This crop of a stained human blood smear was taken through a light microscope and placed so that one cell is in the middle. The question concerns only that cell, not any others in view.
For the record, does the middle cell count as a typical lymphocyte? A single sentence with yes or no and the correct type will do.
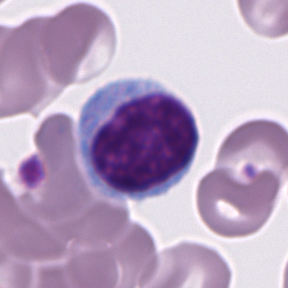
Yes, the cell that occupies the centre is a typical lymphocyte.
